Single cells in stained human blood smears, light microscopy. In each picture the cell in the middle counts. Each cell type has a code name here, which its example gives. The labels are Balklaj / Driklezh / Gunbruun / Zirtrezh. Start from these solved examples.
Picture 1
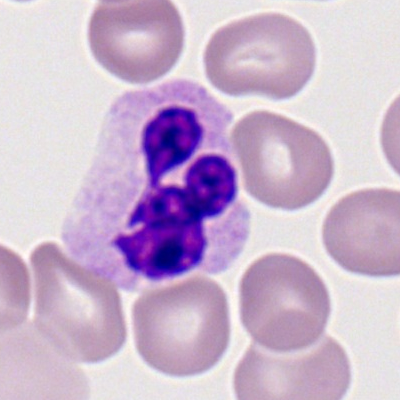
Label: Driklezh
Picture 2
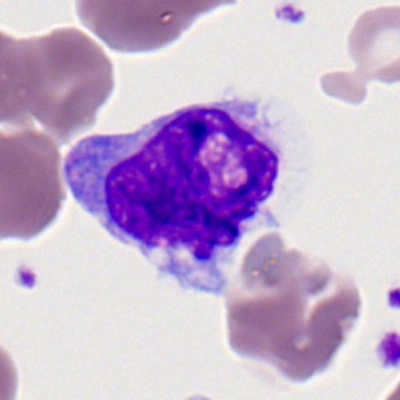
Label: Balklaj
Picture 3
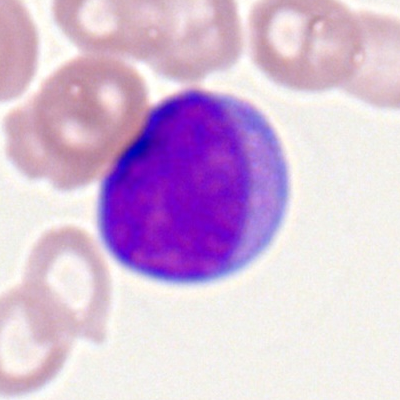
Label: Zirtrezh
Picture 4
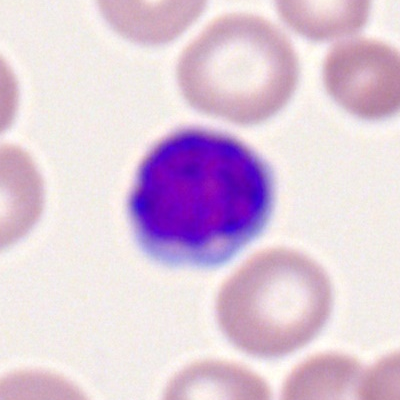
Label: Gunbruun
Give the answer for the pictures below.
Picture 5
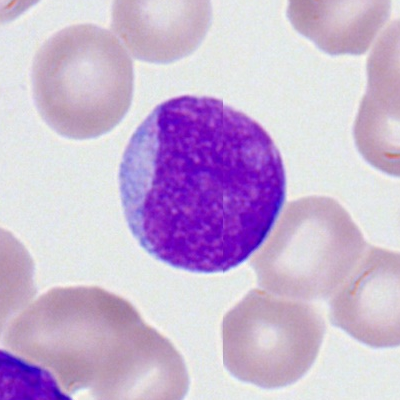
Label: Zirtrezh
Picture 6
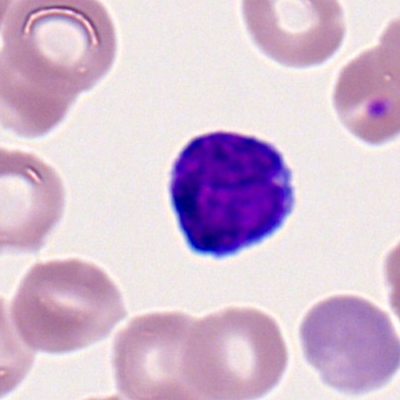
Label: Gunbruun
